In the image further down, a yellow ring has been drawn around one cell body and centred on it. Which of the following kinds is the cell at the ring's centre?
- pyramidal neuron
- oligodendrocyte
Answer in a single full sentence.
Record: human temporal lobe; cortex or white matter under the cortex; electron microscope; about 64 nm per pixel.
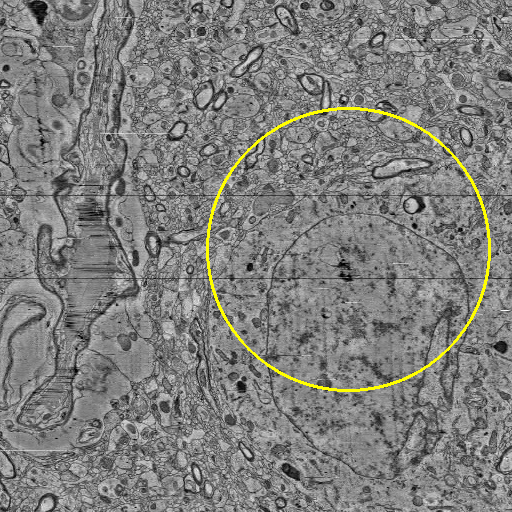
In the picture, the cell sitting at the centre of the yellow ring is a pyramidal neuron.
